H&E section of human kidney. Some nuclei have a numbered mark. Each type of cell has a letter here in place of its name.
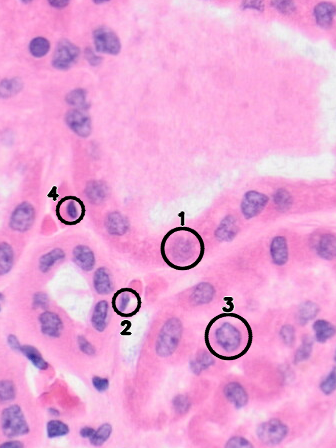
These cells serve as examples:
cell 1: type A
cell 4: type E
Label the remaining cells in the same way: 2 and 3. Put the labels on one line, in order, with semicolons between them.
type E; type A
